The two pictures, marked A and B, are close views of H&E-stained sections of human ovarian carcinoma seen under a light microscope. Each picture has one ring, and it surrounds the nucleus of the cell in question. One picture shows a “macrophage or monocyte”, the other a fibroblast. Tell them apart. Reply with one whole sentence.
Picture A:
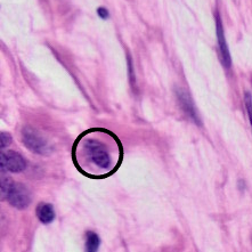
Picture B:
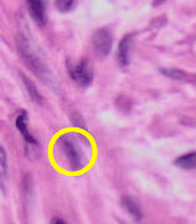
Picture B shows a fibroblast, while picture A shows a “macrophage or monocyte”.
